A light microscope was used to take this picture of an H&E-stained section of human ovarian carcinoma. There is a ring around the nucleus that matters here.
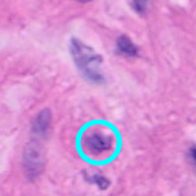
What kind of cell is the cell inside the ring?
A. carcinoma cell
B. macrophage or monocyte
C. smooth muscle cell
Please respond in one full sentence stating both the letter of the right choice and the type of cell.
In short, option C: the cell inside the ring is a smooth muscle cell.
